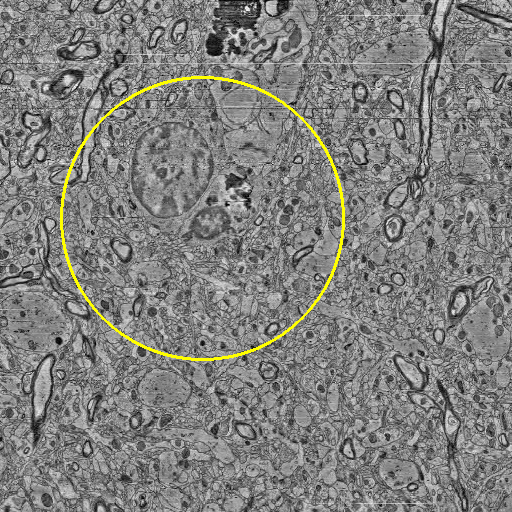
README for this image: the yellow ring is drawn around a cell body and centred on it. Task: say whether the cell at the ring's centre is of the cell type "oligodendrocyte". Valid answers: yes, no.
yes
